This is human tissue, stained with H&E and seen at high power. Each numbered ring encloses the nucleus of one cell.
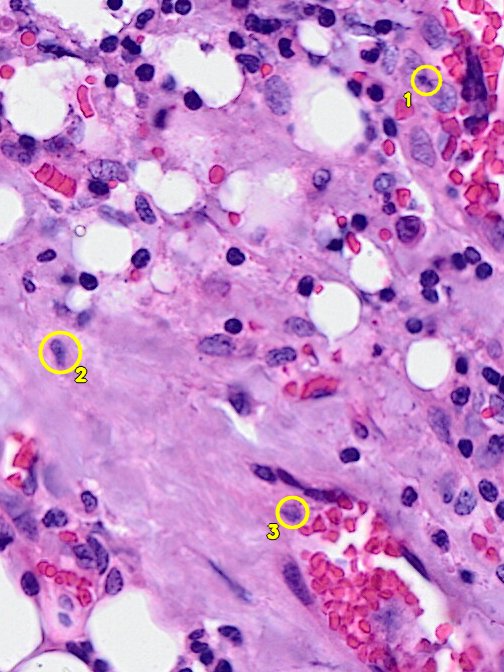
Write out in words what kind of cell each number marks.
Cells 1 and 3 are endothelial cells. Cell 2 is a mast cell.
